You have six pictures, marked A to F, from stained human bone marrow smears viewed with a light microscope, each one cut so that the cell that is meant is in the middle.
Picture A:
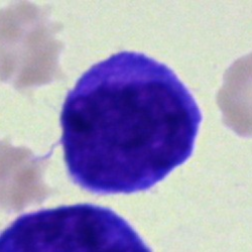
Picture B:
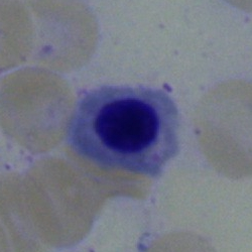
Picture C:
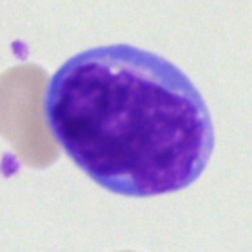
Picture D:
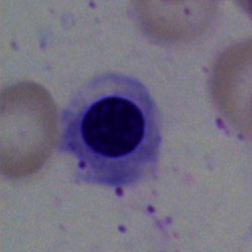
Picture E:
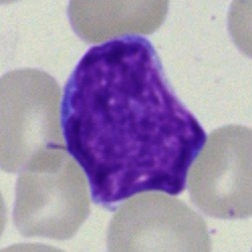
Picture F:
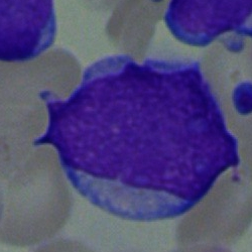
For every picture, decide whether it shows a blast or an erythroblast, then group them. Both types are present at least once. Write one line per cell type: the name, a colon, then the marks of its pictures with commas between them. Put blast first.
blast: A, C, E, F
erythroblast: B, D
